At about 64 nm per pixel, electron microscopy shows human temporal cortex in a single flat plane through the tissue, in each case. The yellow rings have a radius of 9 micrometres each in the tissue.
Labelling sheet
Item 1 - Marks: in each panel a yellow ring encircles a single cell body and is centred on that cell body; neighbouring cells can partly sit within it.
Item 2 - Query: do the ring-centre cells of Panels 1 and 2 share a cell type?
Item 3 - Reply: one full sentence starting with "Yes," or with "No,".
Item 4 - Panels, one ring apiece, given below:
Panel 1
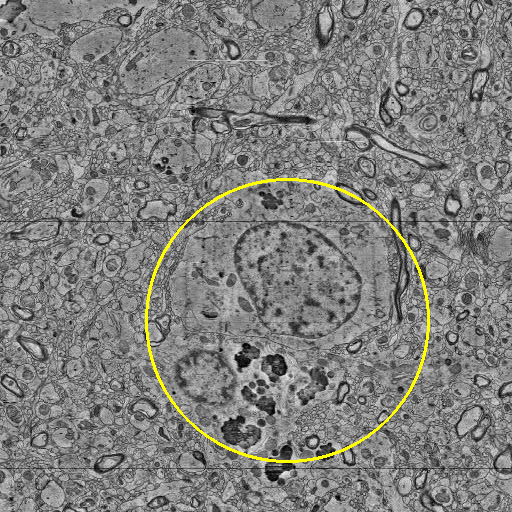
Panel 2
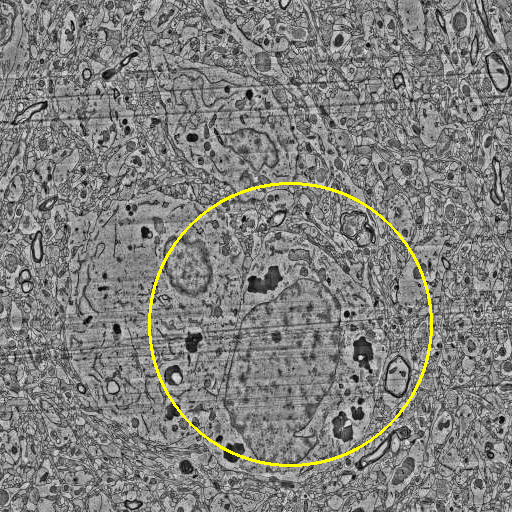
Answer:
No, Panel 1 and Panel 2 show two cell types at the centres of their rings.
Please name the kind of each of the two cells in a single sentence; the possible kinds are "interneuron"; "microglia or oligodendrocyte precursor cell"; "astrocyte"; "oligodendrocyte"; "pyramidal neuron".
In the first picture the ring is centred on an astrocyte, and in the second on an interneuron.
